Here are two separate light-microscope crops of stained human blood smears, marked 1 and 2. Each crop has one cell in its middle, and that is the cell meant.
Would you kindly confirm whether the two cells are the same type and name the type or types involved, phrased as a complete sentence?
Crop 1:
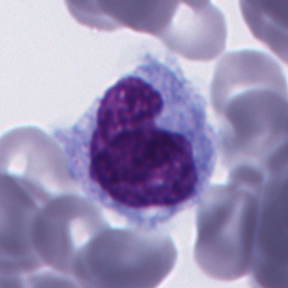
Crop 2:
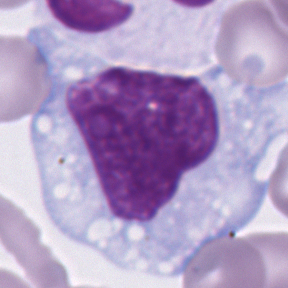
Yes, monocytes occupy the centre of both crops.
